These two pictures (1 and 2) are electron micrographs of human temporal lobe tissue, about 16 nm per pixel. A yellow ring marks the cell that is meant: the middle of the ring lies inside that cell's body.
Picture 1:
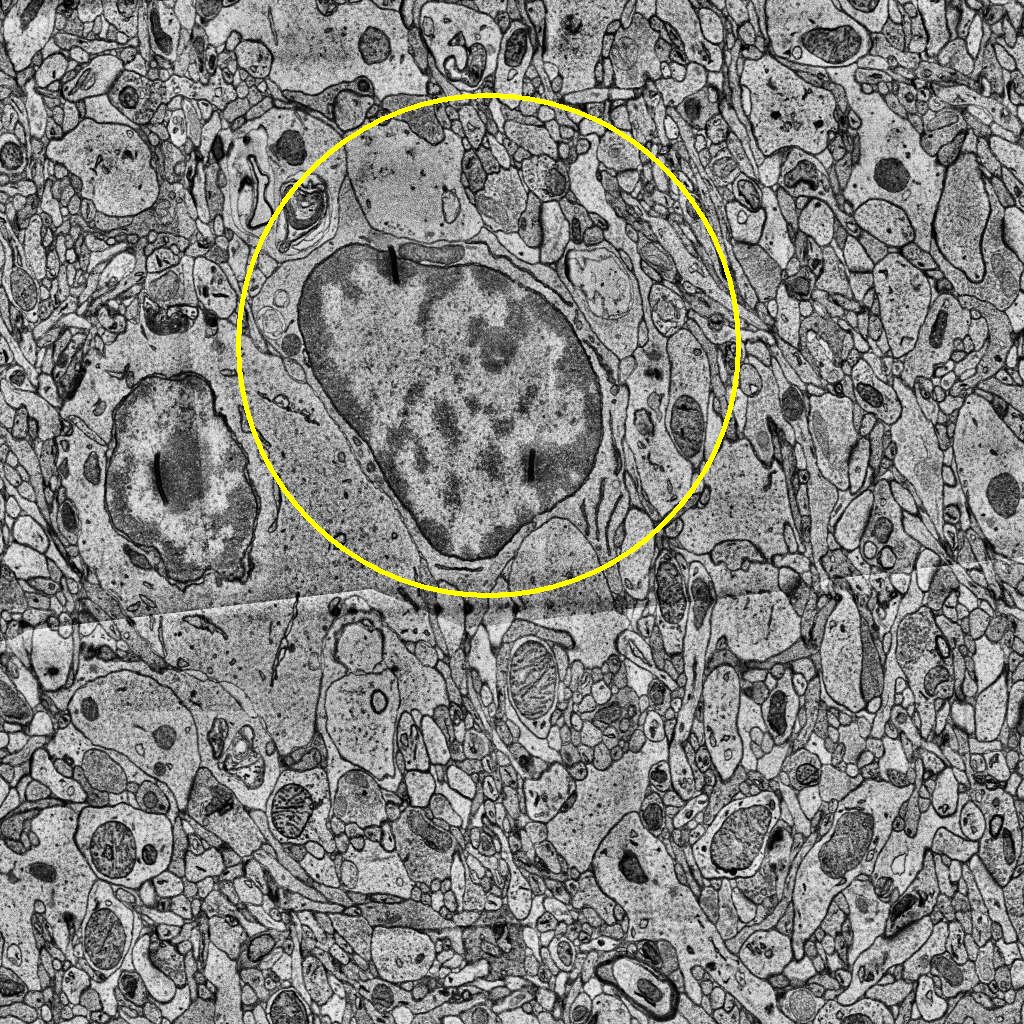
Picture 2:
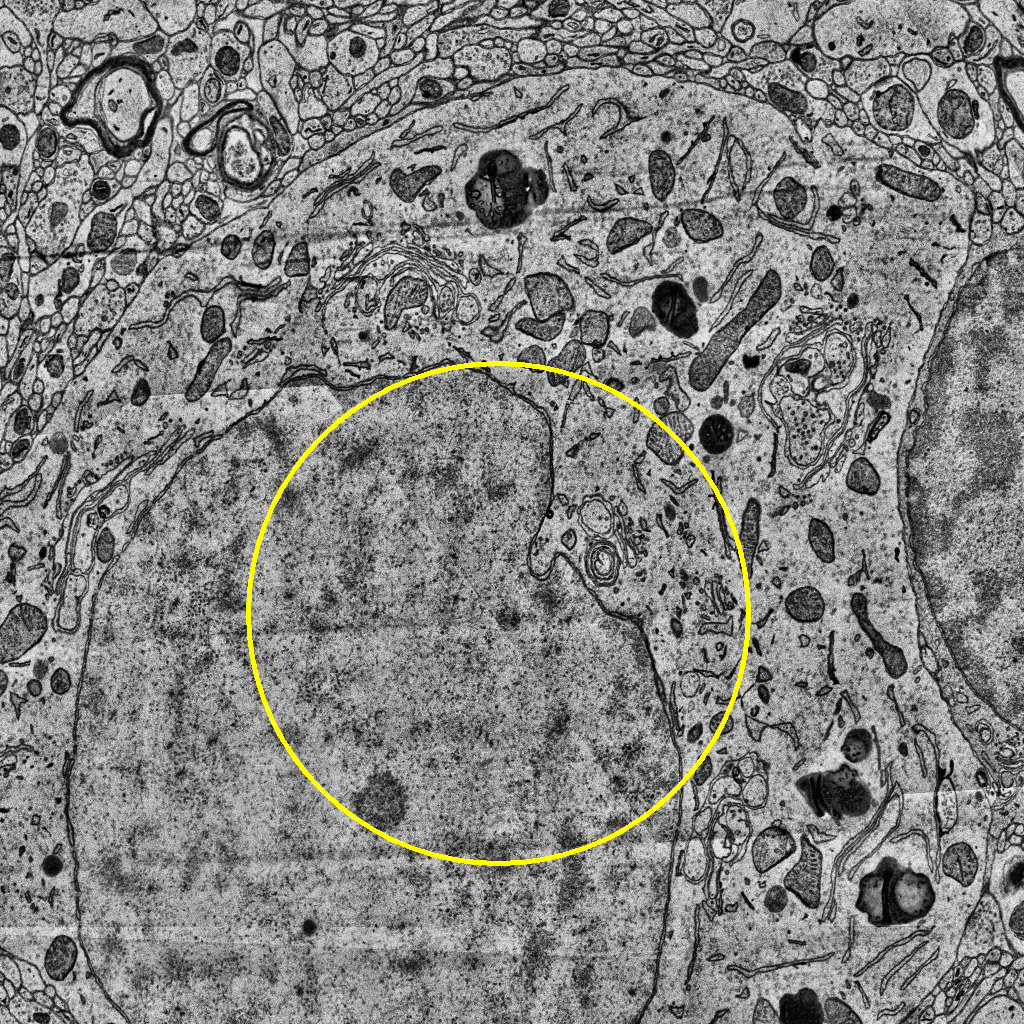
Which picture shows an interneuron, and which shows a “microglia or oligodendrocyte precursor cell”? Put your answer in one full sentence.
Picture 1 shows a “microglia or oligodendrocyte precursor cell” and picture 2 shows an interneuron.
